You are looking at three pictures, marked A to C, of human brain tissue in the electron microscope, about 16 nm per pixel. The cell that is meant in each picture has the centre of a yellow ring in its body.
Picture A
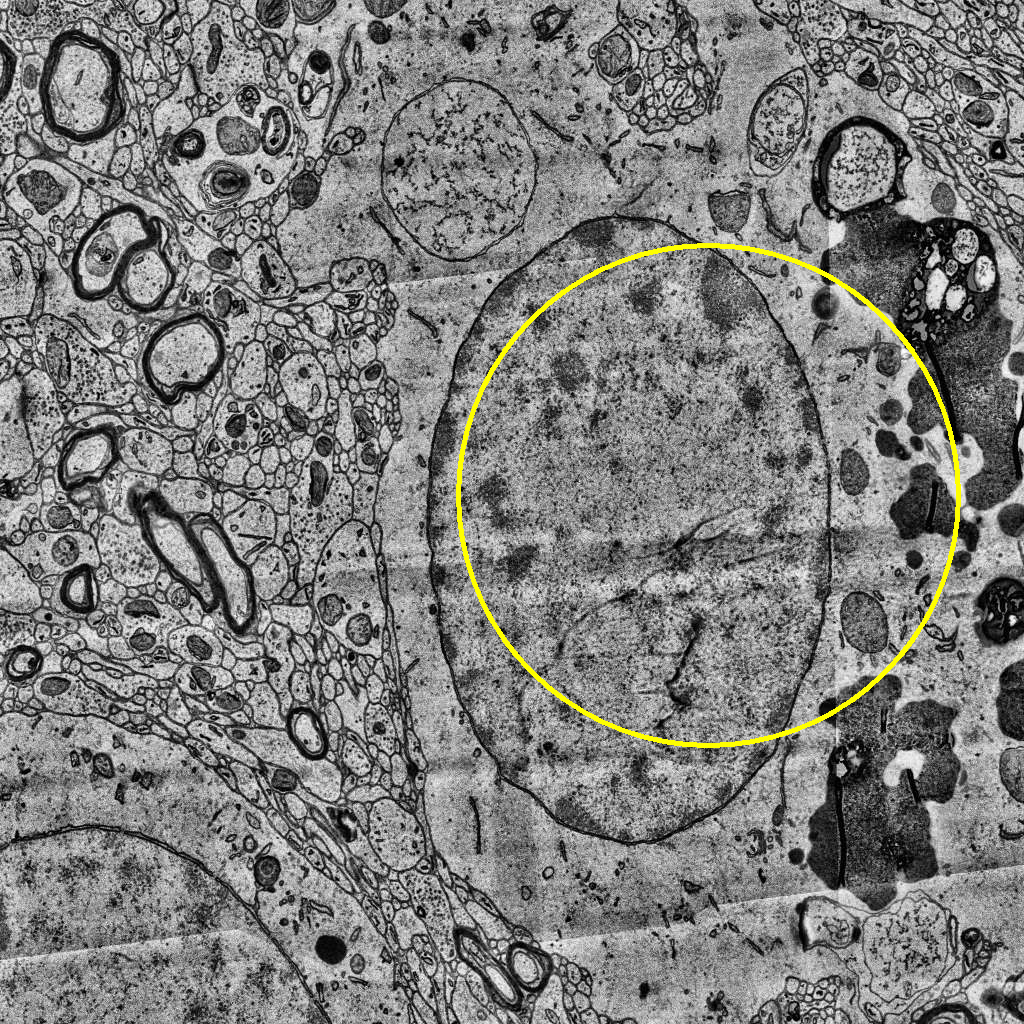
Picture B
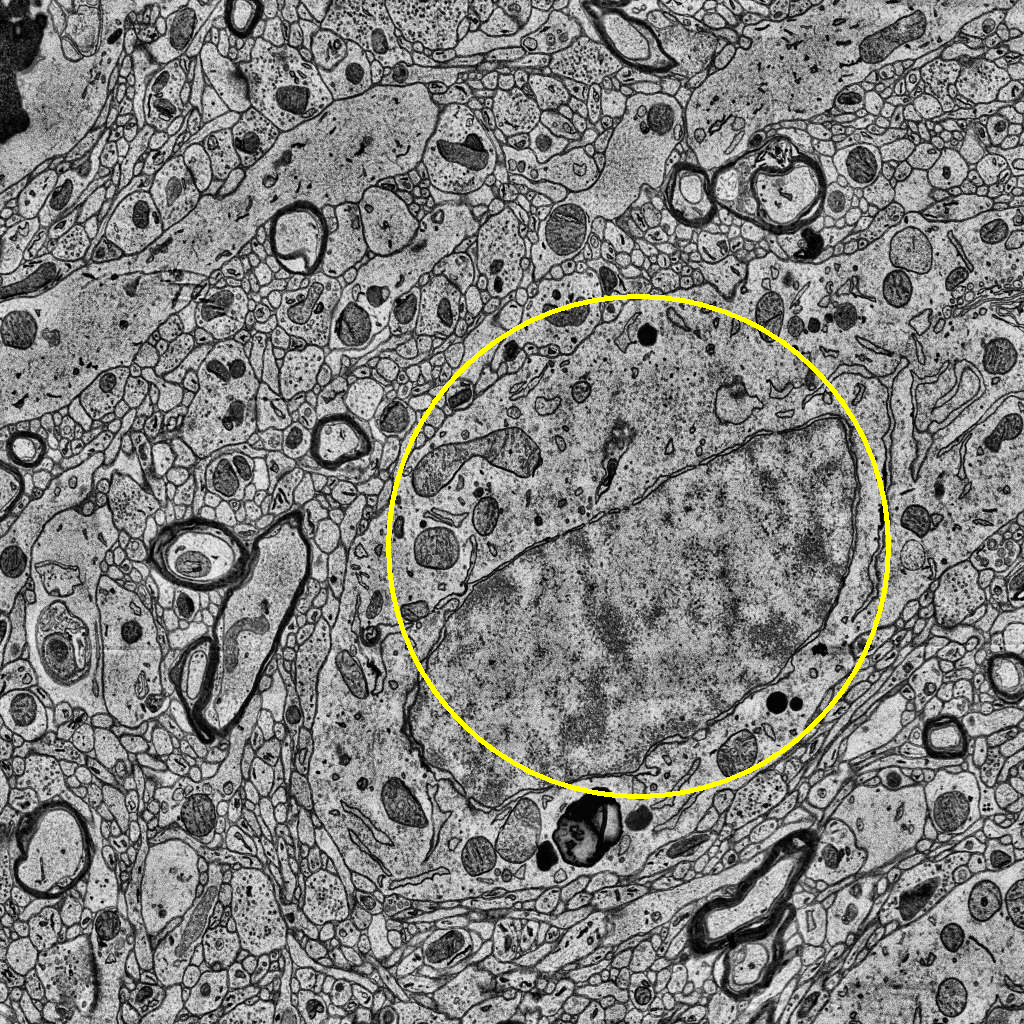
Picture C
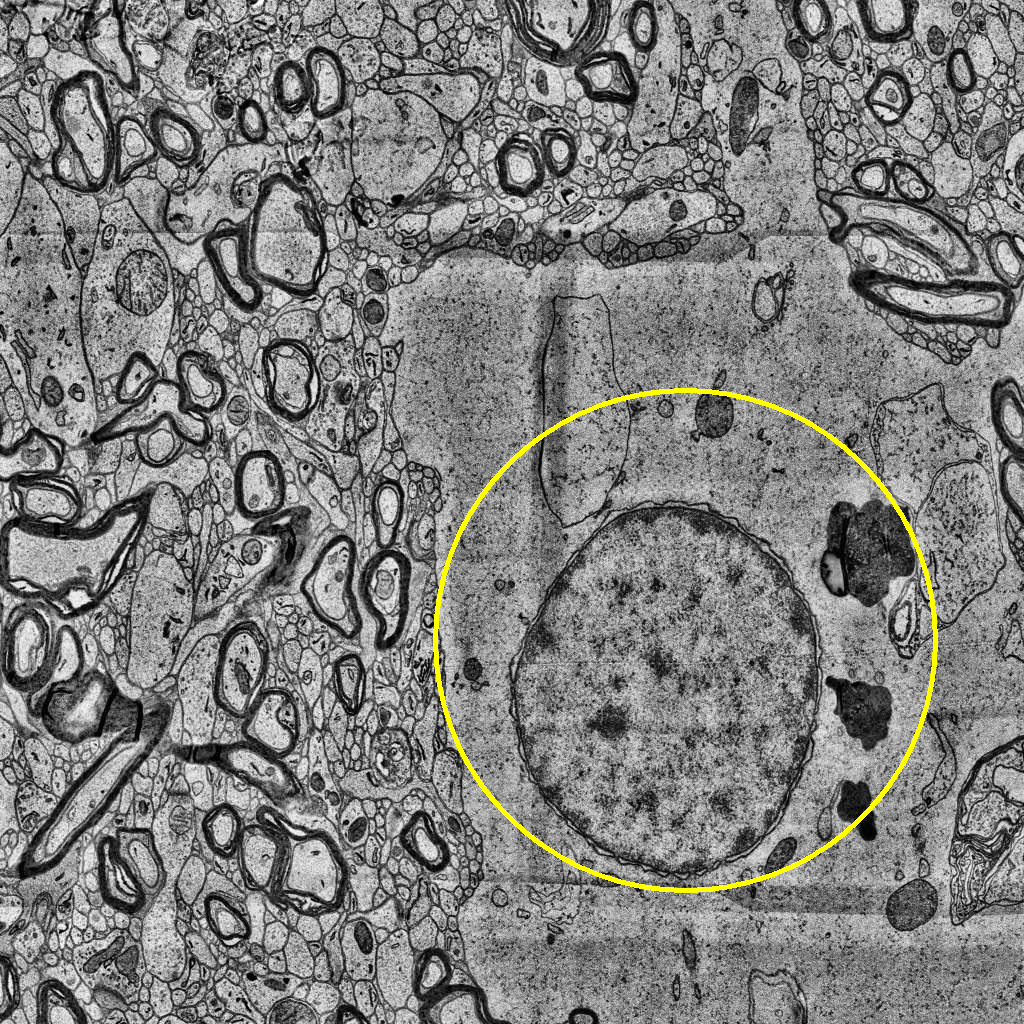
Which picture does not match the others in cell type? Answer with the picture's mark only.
B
